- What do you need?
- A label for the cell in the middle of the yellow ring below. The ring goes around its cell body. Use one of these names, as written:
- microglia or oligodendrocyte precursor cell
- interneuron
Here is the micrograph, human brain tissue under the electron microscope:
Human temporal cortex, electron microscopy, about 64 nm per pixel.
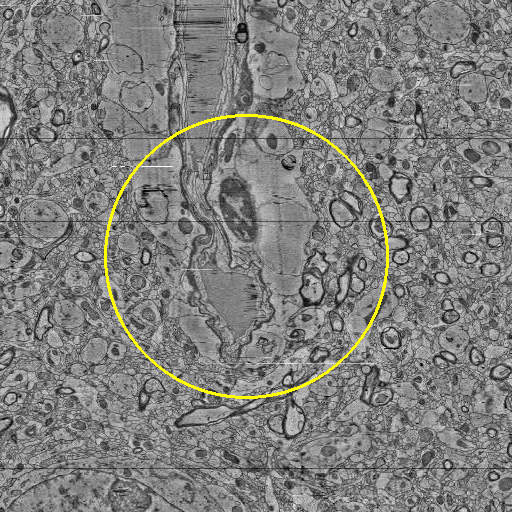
microglia or oligodendrocyte precursor cell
